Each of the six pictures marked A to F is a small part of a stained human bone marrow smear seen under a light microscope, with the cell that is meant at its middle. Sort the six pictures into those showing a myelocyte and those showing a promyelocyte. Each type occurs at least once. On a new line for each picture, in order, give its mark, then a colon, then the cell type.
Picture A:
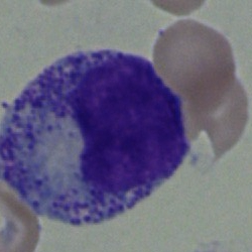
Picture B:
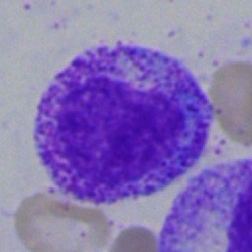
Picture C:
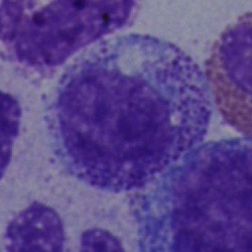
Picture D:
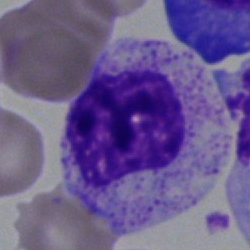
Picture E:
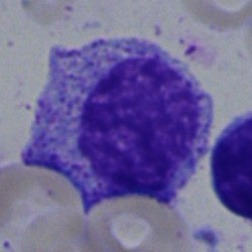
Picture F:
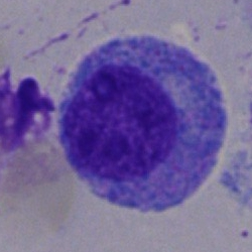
A: myelocyte
B: myelocyte
C: promyelocyte
D: myelocyte
E: myelocyte
F: promyelocyte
